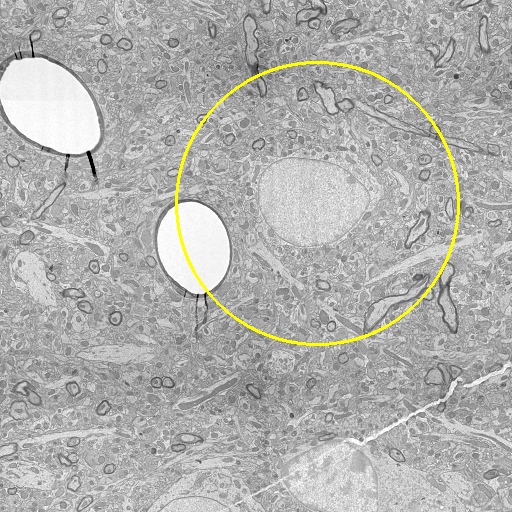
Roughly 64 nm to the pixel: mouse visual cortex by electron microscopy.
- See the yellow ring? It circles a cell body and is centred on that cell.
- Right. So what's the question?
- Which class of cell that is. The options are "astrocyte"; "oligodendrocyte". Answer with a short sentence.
The centre of the ring holds an astrocyte.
